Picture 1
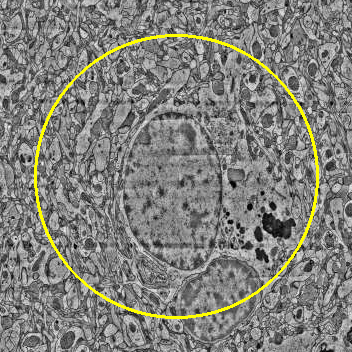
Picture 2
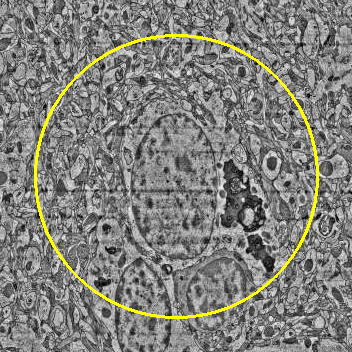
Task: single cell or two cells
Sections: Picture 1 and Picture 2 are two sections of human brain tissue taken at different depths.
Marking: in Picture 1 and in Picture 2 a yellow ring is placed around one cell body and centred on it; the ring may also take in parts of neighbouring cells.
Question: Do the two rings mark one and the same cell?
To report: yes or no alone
yes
